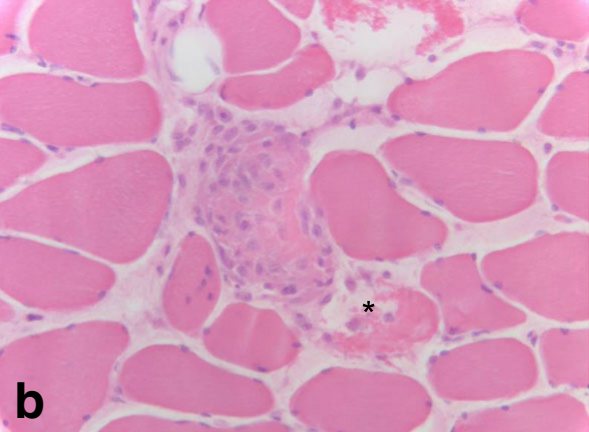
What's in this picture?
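Cross-sectioned skeletal muscle fibers appear as large pink polygons with small peripheral nuclei, except for one fiber-sized area in the centre that is packed with many small cells with round to oval nuclei among pale pink remnants of fiber cytoplasm. Nearby, another fiber is pale and granular with a few cells inside it. The central fiber is being taken apart by invading cells, a state of myophagocytosis, and the pale fiber beside it is a fresh single fiber necrosis.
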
